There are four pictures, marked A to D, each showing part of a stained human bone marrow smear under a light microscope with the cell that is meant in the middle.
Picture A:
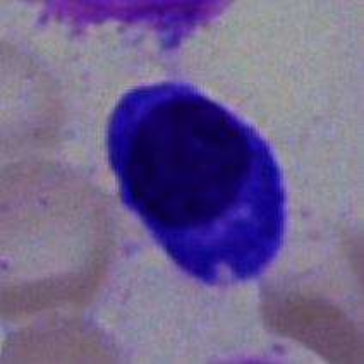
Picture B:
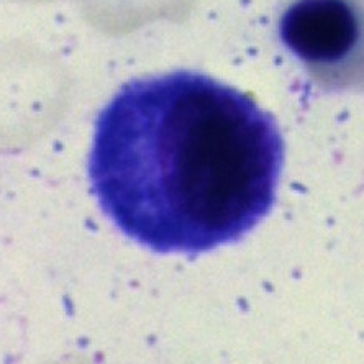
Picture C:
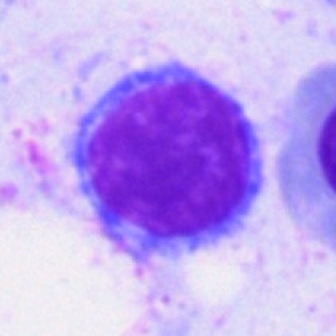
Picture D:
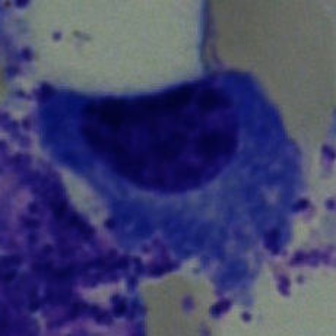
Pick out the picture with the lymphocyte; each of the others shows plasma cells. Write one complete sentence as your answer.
The lymphocyte is the one in picture C.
